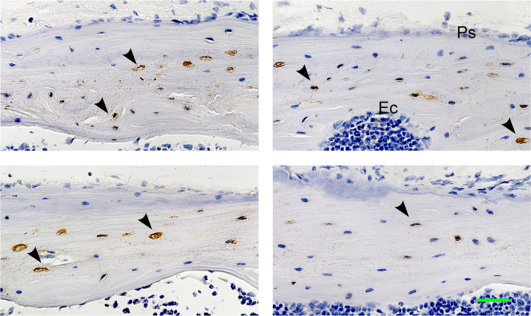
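These four views show cortical bone with osteocytes sitting in their lacunae. The bone itself is a broad, pale grey-lilac band of dense matrix running across each image, with faint lamellar streaks. Scattered within it are small, flattened, spindle-shaped cells lying parallel to the surfaces, each in its own lacuna; many of them are stained brown, others only show a blue nucleus. Along one edge lies the thin outer surface of the bone, and along the other the marrow cavity, packed with small round blue-nucleated marrow cells.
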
